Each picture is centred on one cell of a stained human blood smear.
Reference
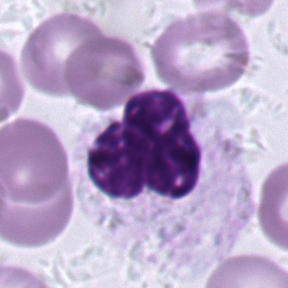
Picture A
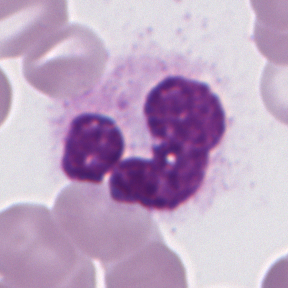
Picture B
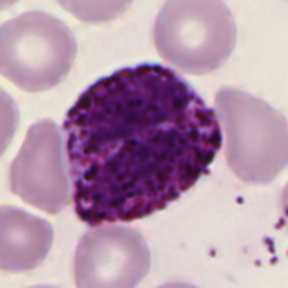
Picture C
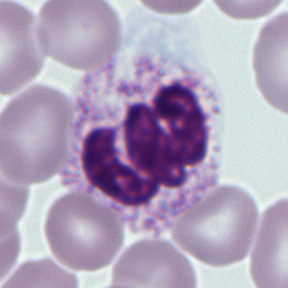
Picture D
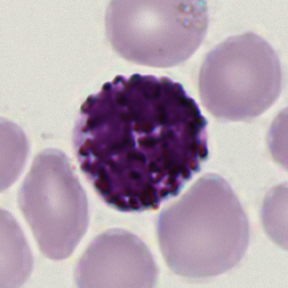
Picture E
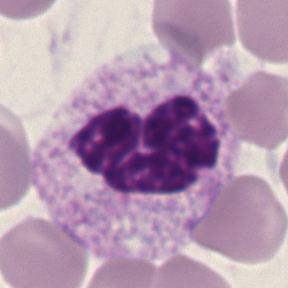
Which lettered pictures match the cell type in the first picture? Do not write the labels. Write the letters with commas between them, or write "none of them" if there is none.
A, C, E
